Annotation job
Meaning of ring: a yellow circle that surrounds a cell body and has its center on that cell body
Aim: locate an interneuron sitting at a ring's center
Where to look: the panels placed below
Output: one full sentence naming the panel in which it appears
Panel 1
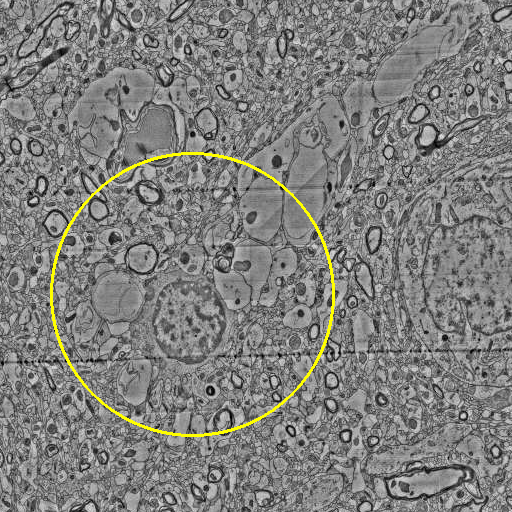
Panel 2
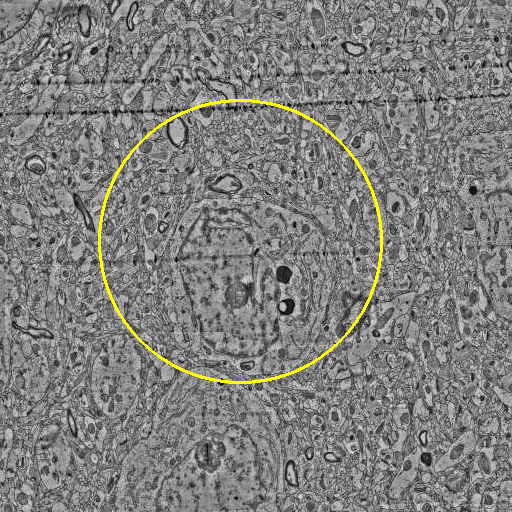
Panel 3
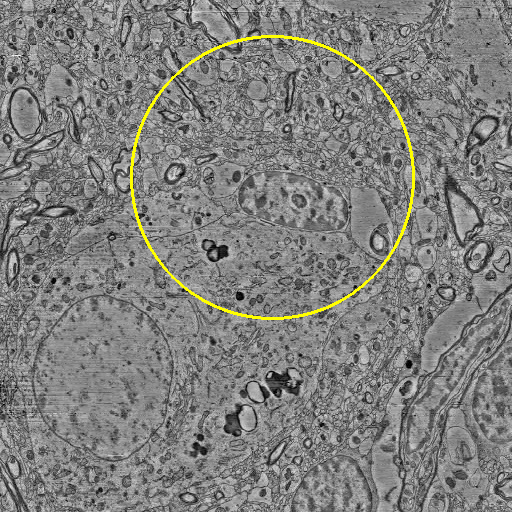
The cell at the center of the ring in panel 2 is the one sought.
